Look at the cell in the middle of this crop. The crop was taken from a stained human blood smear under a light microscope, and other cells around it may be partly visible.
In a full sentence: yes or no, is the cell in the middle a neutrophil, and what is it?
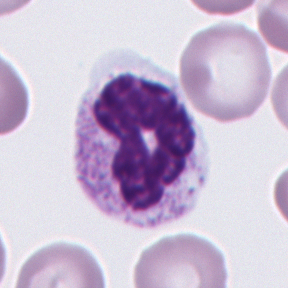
Yes, as for the central cell, it is a neutrophil.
